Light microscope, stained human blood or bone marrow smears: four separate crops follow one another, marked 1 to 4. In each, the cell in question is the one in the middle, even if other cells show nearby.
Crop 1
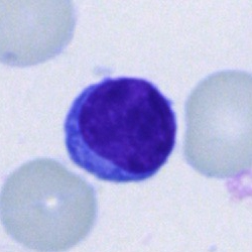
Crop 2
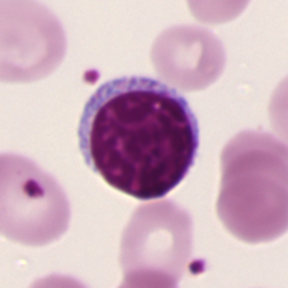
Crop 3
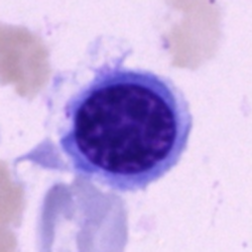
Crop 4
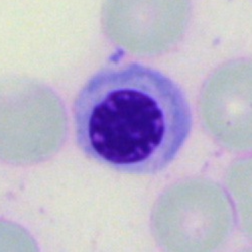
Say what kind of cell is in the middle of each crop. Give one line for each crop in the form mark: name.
1: lymphocyte
2: lymphocyte
3: erythroblast
4: erythroblast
